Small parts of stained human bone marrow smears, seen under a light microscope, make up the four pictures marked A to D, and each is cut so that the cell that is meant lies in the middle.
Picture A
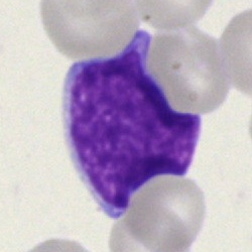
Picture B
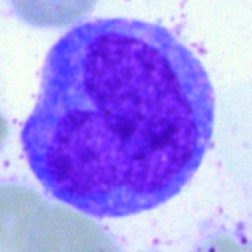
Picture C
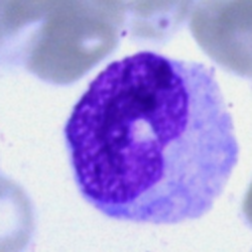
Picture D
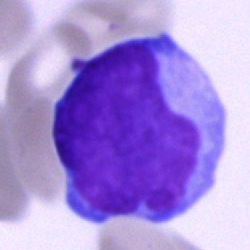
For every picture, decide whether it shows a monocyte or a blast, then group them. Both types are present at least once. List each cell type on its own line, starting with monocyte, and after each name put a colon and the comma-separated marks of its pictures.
monocyte: B, C
blast: A, D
